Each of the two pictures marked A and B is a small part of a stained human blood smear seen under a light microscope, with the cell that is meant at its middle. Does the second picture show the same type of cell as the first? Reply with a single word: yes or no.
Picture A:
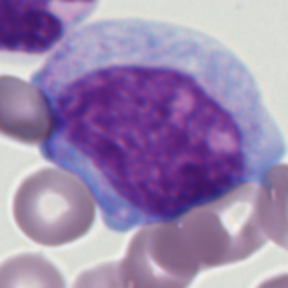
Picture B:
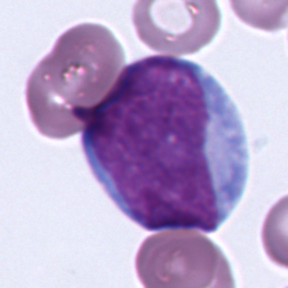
no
